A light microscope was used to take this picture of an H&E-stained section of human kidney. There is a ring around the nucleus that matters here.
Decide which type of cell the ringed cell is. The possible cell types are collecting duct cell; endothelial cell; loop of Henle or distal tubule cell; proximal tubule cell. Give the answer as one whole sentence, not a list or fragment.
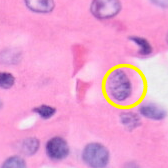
In terms of identity, the ringed cell is a loop of Henle or distal tubule cell.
